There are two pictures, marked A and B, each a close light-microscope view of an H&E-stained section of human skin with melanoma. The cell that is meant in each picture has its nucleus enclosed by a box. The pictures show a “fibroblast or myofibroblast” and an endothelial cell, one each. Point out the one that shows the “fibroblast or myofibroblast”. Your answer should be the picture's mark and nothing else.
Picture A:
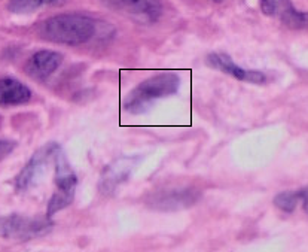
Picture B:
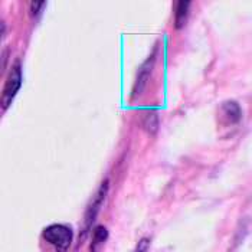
A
